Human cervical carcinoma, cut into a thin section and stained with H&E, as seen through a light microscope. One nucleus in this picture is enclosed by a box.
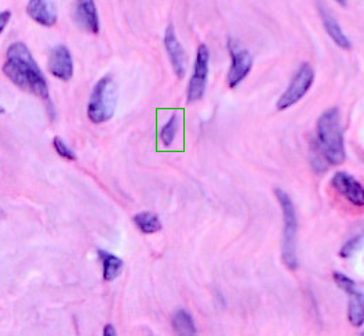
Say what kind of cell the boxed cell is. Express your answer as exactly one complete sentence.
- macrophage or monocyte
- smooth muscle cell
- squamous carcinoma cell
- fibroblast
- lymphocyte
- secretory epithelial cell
Right, so the boxed cell is a fibroblast, to answer that.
